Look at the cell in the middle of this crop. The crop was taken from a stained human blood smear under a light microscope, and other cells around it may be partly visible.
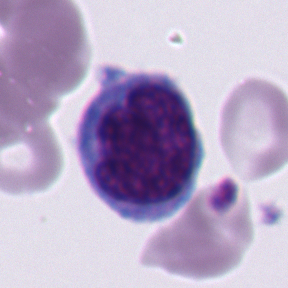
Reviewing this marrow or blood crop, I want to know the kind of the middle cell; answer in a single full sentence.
The cell occupying the middle of the crop is a monocyte.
